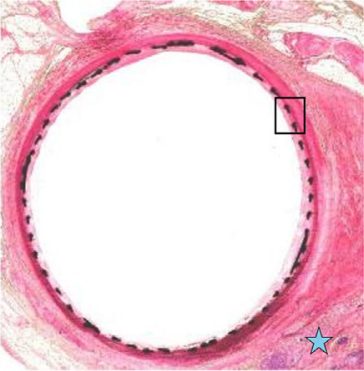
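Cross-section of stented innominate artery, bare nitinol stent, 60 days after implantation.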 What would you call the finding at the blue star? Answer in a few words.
adventitial inflammation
